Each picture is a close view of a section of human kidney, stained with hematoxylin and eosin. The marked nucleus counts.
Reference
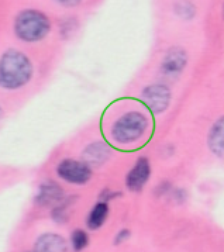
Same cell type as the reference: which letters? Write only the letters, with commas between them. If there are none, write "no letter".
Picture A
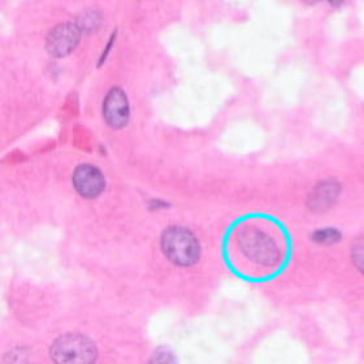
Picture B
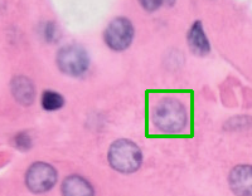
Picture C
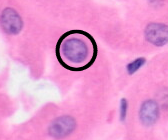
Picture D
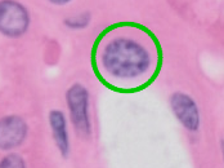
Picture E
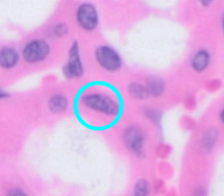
D, E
